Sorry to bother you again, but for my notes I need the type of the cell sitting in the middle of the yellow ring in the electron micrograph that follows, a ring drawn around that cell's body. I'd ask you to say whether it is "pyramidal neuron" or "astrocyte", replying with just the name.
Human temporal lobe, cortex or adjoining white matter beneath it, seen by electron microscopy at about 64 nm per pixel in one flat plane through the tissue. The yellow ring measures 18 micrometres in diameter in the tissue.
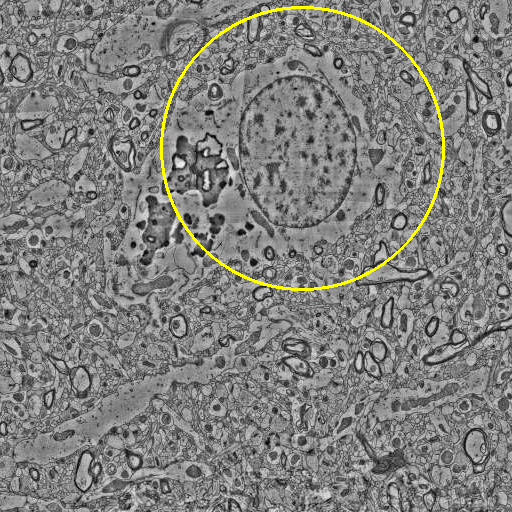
astrocyte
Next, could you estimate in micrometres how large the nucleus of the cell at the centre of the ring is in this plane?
In this plane, the nucleus is roughly 10 by 8 micrometres.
